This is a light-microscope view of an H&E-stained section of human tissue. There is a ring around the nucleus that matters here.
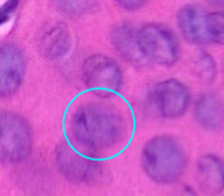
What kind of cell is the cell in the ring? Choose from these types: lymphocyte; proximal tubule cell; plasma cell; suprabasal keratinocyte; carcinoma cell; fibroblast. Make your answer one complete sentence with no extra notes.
Within the stained tissue, the cell in the ring is a suprabasal keratinocyte.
